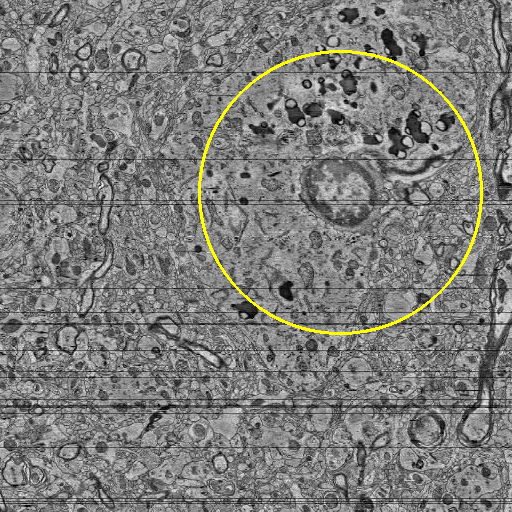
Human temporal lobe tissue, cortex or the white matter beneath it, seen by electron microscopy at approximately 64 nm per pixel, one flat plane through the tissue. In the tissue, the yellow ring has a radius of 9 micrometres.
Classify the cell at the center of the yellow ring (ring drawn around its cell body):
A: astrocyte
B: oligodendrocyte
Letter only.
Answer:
B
